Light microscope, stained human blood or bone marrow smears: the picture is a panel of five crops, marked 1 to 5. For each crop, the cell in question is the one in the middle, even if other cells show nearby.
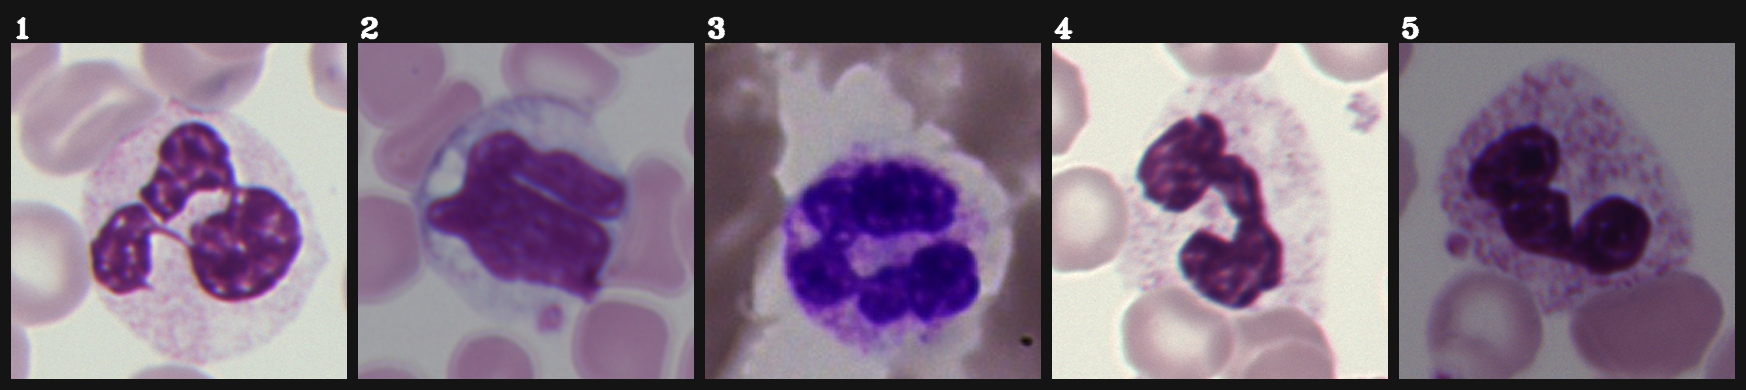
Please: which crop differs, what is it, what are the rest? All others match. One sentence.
Crop 2 is the one that is a monocyte, and the other crops all show neutrophils.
